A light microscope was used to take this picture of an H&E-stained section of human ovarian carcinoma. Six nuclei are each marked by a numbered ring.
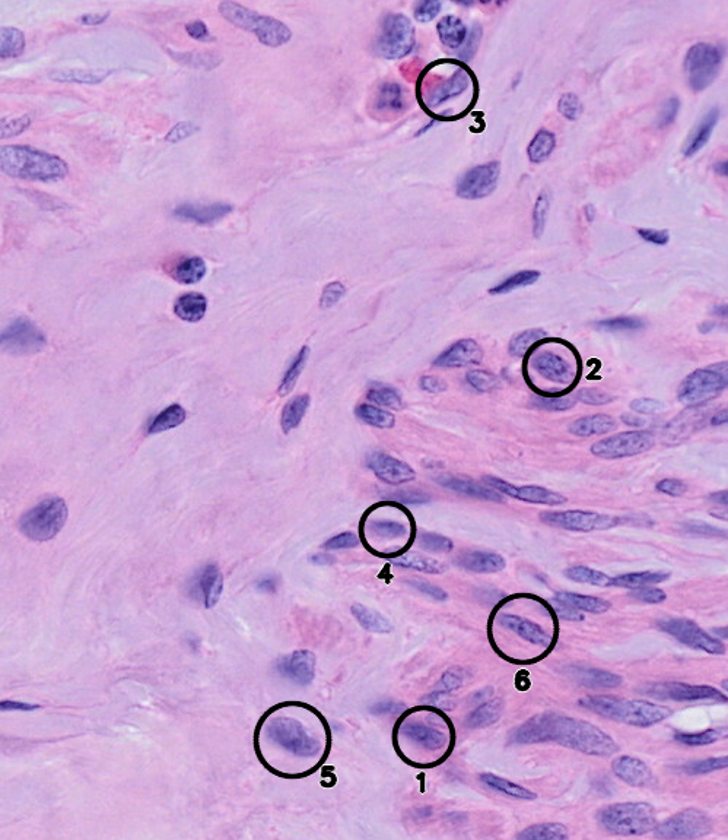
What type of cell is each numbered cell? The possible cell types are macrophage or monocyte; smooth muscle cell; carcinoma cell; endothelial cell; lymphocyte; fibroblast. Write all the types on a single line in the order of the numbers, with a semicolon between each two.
smooth muscle cell; smooth muscle cell; endothelial cell; smooth muscle cell; fibroblast; smooth muscle cell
